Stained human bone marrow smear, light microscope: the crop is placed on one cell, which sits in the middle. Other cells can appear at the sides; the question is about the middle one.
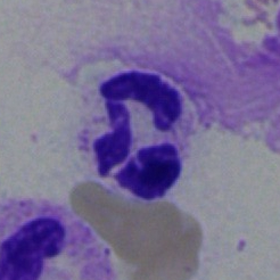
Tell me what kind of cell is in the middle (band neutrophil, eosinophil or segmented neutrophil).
segmented neutrophil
